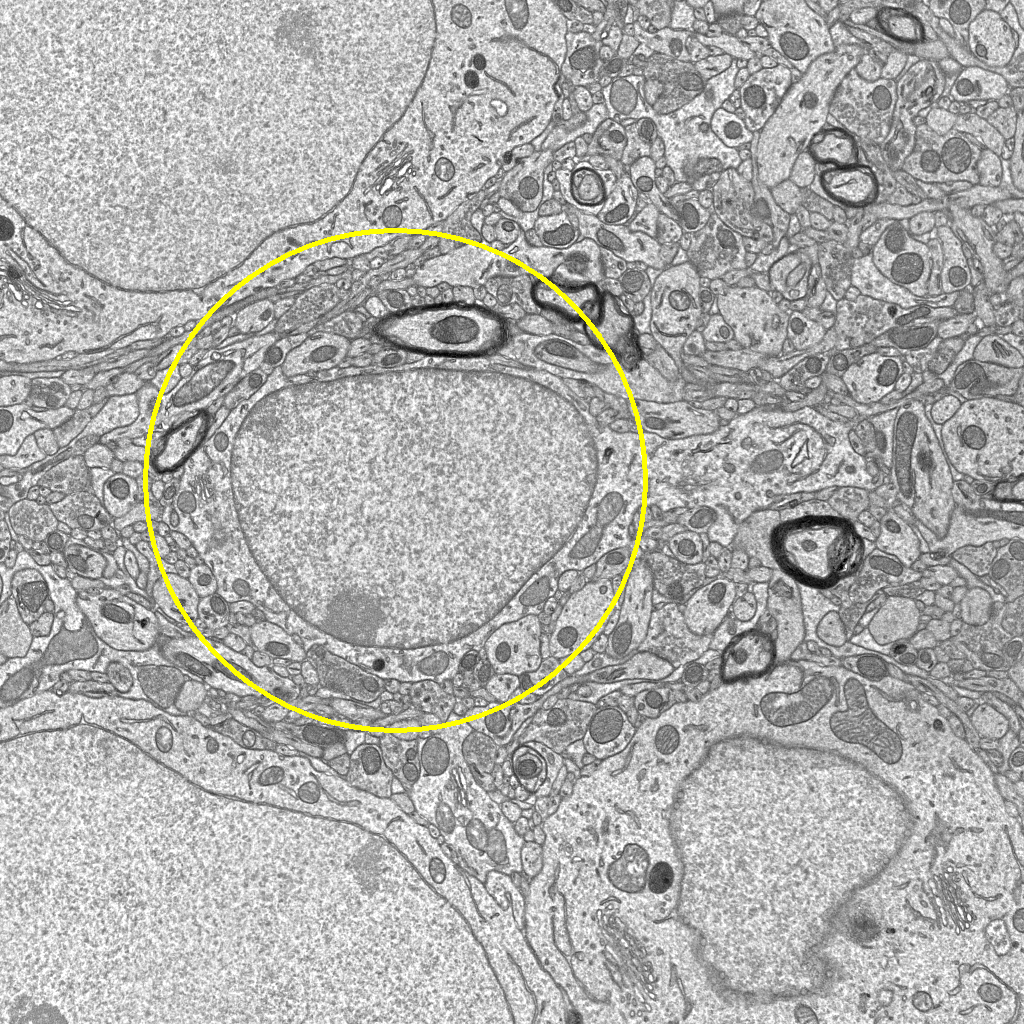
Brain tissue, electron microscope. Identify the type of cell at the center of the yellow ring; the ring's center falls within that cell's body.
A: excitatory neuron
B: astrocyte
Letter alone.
B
